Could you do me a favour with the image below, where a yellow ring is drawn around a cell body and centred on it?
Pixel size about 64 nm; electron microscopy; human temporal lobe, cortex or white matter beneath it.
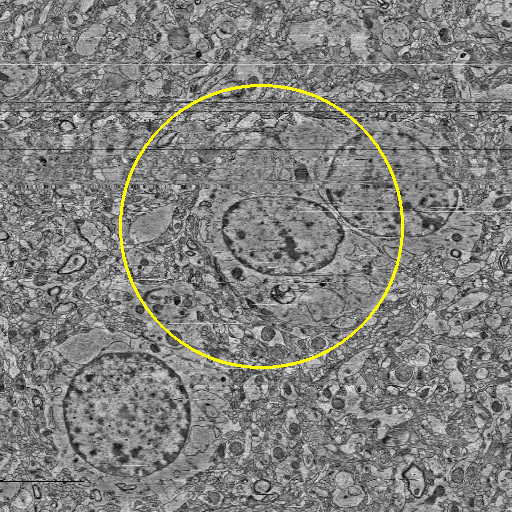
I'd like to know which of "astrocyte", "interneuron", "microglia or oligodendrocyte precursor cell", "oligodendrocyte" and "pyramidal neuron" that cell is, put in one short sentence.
The cell at the ring's centre is an astrocyte.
